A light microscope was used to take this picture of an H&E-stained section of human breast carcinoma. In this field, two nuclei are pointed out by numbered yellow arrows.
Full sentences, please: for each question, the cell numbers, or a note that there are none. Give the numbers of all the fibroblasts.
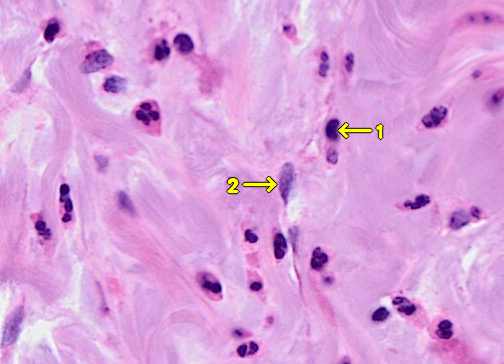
Cell 2 is the single numbered cell that is a fibroblast.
